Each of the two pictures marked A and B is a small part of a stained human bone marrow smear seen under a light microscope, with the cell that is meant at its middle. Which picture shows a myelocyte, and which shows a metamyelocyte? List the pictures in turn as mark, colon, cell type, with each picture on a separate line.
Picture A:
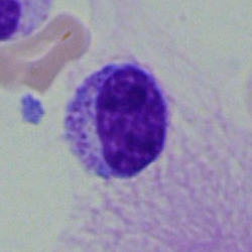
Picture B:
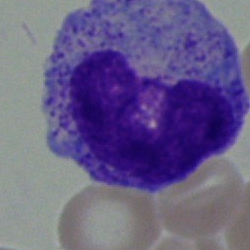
A: myelocyte
B: metamyelocyte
